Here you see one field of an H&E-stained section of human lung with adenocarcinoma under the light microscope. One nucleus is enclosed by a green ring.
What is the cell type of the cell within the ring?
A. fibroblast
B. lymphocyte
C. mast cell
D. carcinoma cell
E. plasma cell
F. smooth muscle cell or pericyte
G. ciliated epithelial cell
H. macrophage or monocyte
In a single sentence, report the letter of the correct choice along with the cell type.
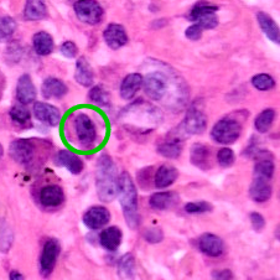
The correct option is E, as the cell within the ring is a plasma cell.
